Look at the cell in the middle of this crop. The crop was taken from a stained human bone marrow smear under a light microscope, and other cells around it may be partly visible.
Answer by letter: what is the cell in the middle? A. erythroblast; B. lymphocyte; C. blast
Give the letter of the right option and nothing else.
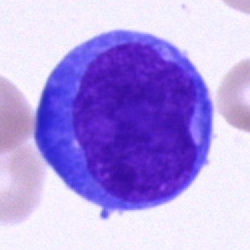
C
